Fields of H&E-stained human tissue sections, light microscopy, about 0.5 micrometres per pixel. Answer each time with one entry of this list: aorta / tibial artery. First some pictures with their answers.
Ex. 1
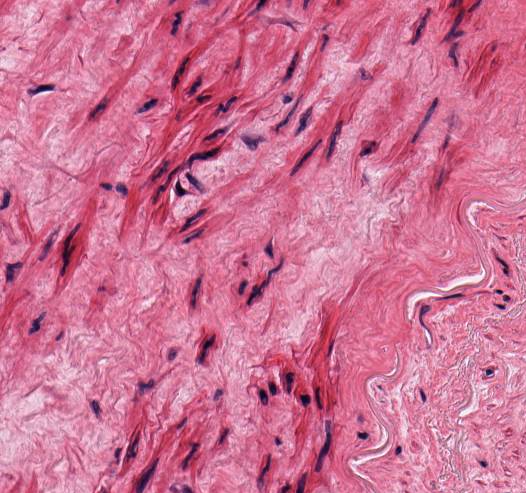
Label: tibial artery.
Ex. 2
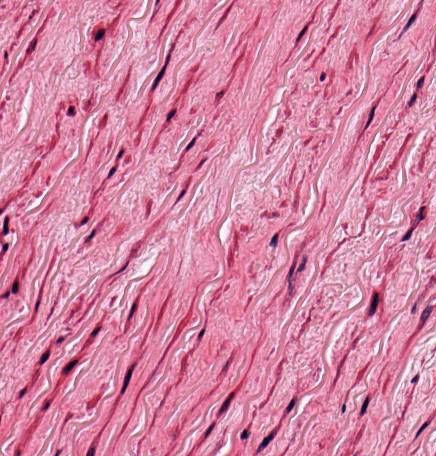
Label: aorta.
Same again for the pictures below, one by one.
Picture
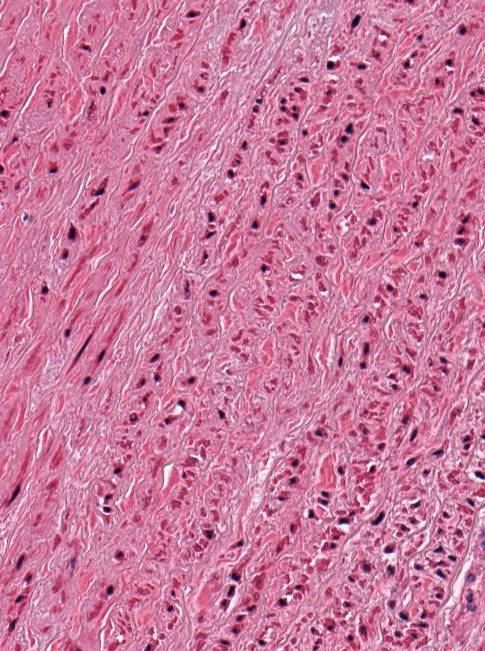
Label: aorta.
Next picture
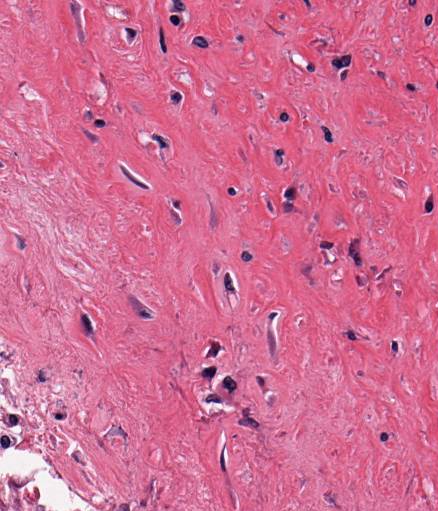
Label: tibial artery.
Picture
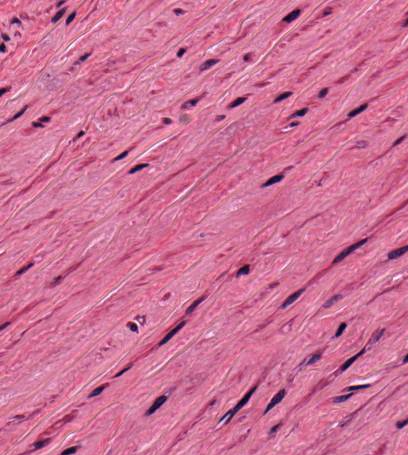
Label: aorta.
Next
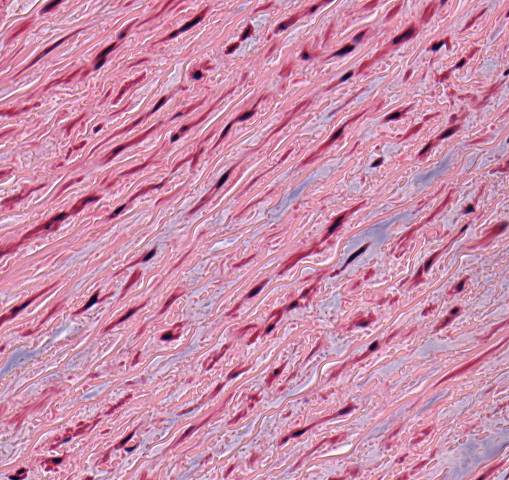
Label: aorta.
